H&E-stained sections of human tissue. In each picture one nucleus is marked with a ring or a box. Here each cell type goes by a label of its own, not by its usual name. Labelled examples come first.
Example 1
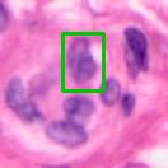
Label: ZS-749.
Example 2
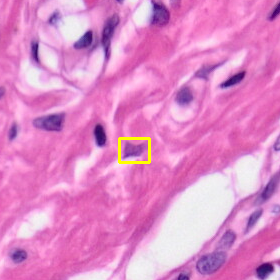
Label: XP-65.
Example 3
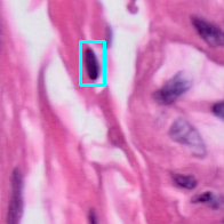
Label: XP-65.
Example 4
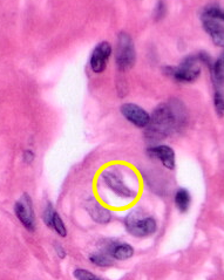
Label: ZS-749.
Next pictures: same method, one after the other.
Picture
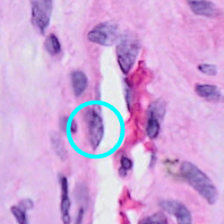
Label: ZS-749.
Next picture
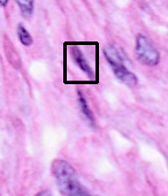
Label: XP-65.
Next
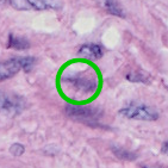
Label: XP-65.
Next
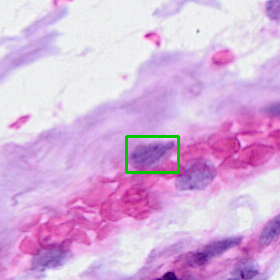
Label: ZS-749.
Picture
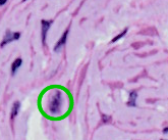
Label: XP-65.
